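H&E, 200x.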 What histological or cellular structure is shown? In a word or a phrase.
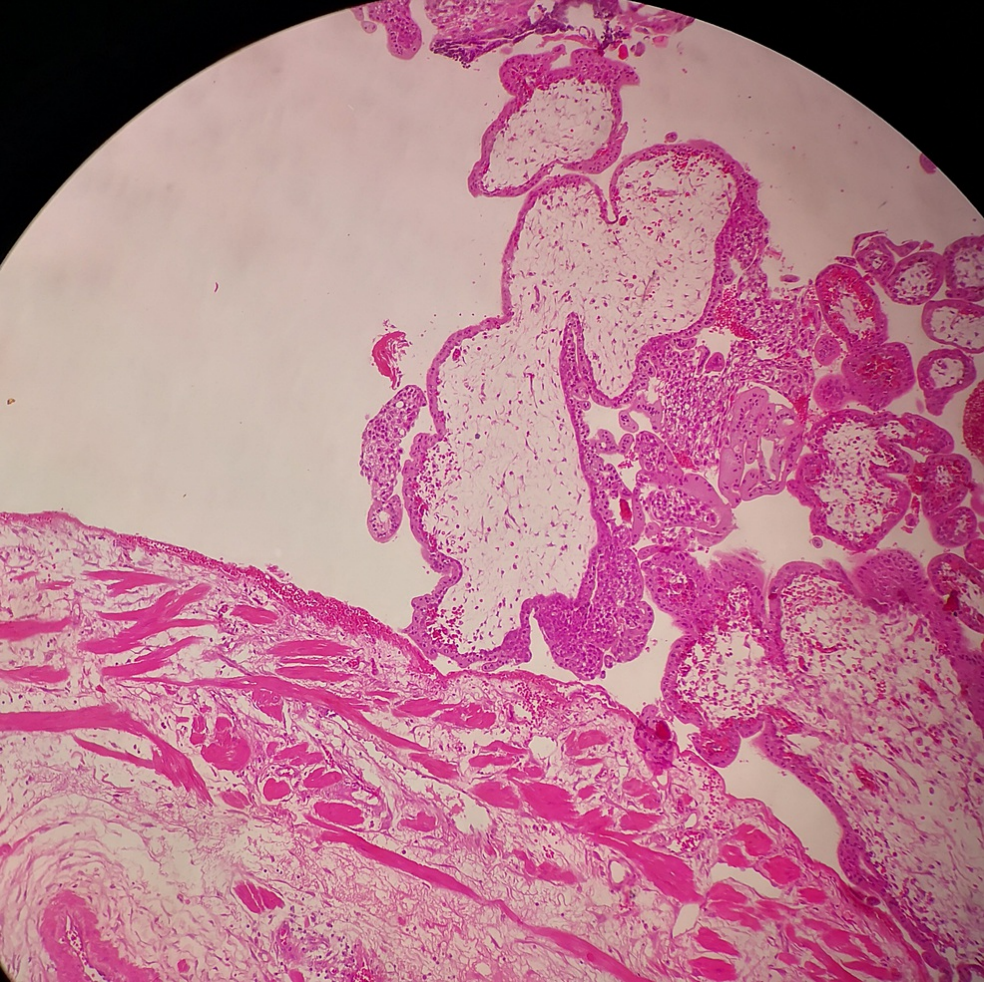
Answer: Edematous villi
